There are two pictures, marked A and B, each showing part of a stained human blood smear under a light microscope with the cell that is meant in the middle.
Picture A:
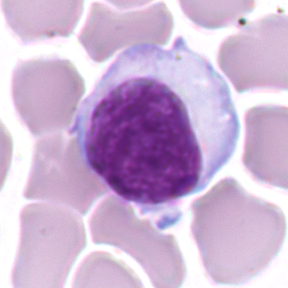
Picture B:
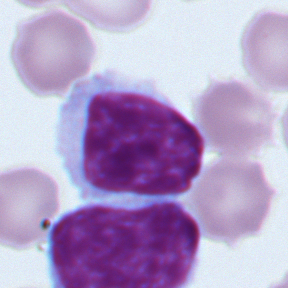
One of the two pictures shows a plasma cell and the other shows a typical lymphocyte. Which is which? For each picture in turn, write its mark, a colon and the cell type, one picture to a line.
A: plasma cell
B: typical lymphocyte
